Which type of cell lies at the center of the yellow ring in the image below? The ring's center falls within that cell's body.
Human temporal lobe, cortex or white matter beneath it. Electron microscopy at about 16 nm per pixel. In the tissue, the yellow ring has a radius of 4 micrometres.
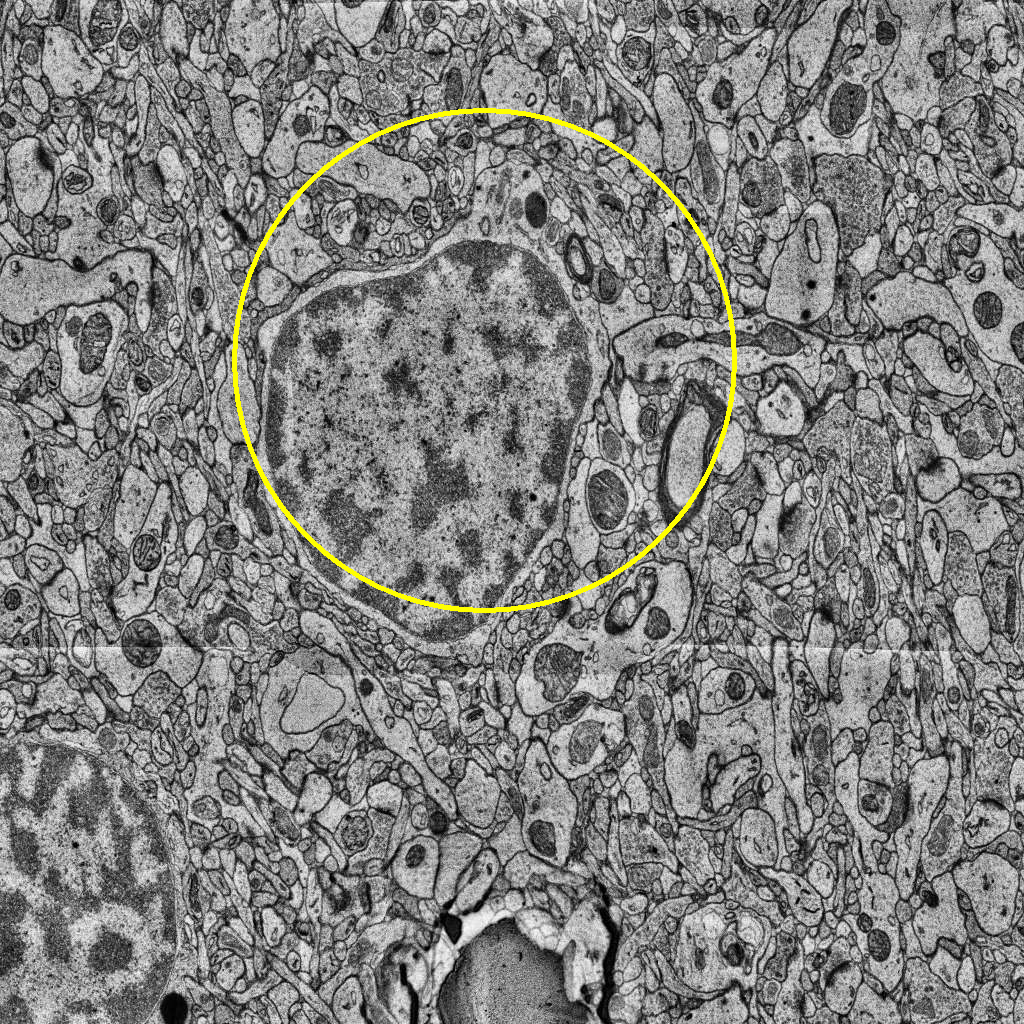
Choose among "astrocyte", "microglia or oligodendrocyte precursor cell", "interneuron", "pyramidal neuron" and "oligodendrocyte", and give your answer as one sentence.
The cell body at the center belongs to a microglial cell or oligodendrocyte precursor cell.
